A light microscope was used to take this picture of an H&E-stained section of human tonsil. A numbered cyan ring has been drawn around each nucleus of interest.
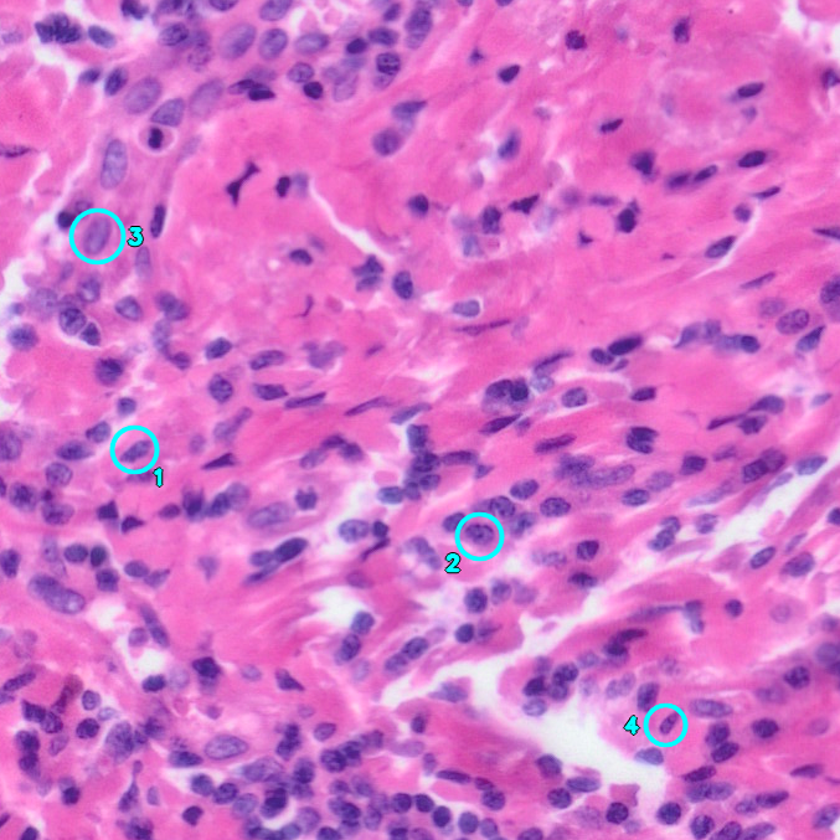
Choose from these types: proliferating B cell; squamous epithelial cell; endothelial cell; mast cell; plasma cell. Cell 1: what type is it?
mast cell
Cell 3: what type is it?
endothelial cell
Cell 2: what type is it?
plasma cell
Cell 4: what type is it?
mast cell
